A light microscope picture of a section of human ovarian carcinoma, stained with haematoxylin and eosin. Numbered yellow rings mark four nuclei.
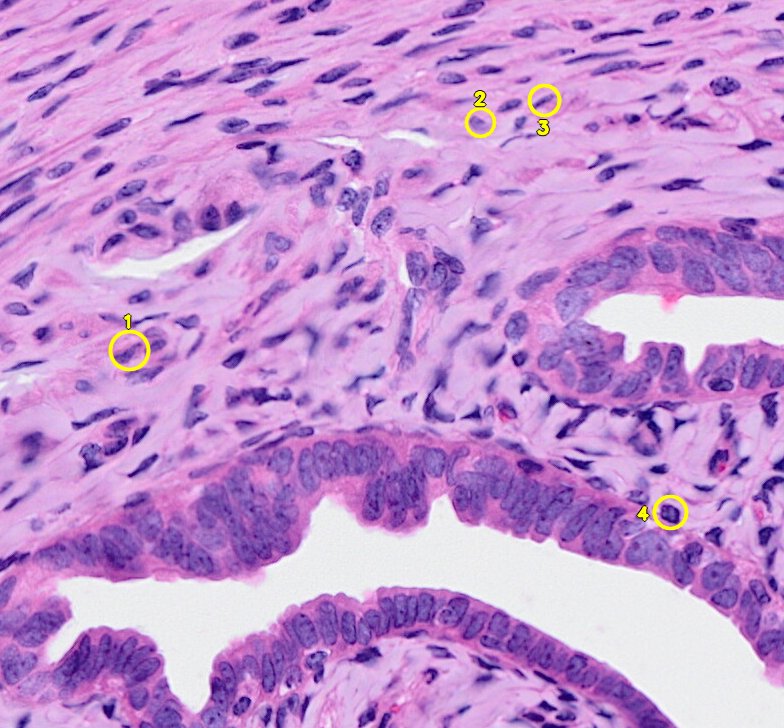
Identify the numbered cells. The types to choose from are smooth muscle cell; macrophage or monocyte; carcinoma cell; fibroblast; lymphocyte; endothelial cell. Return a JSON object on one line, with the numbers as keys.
{"1": "smooth muscle cell", "2": "smooth muscle cell", "3": "smooth muscle cell", "4": "lymphocyte"}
